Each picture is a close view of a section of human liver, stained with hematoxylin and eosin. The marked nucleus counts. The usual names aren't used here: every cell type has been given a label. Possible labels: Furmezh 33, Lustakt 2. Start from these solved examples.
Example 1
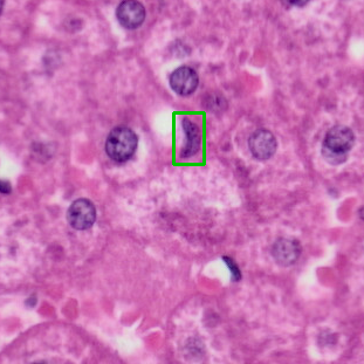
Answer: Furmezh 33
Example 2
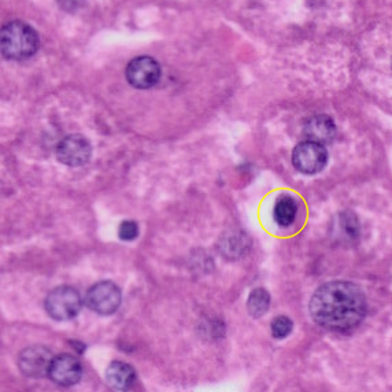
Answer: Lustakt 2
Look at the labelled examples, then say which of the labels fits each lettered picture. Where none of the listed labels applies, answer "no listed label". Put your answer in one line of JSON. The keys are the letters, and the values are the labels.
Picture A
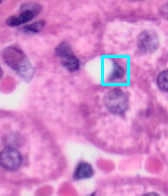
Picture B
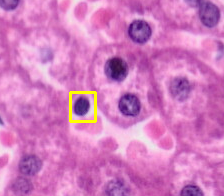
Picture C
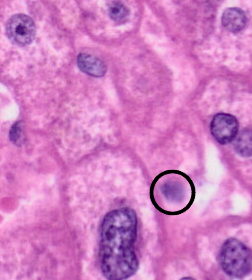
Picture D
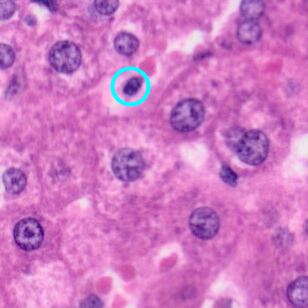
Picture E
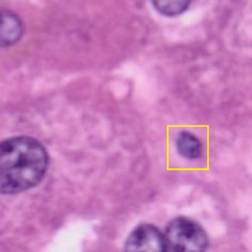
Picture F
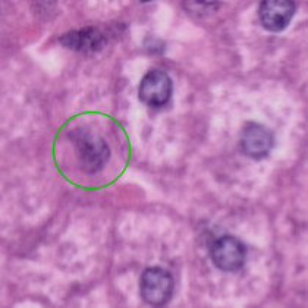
{"A": "Furmezh 33", "B": "Lustakt 2", "C": "Furmezh 33", "D": "Lustakt 2", "E": "Lustakt 2", "F": "Furmezh 33"}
